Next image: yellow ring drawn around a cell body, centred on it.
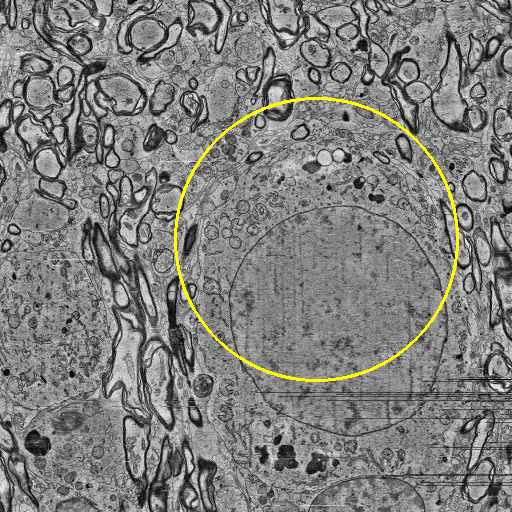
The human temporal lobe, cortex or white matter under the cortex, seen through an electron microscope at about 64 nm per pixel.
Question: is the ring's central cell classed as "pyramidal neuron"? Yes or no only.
yes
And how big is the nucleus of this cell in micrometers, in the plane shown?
About 15 micrometres across in this plane, for the nucleus.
